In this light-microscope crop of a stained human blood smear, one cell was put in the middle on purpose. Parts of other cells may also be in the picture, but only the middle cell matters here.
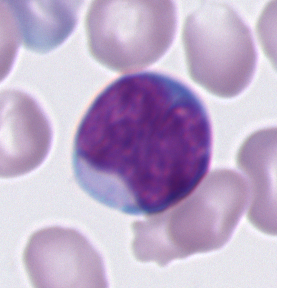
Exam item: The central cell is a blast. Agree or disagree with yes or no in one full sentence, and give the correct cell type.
Yes, the cell that lies centrally is a blast.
